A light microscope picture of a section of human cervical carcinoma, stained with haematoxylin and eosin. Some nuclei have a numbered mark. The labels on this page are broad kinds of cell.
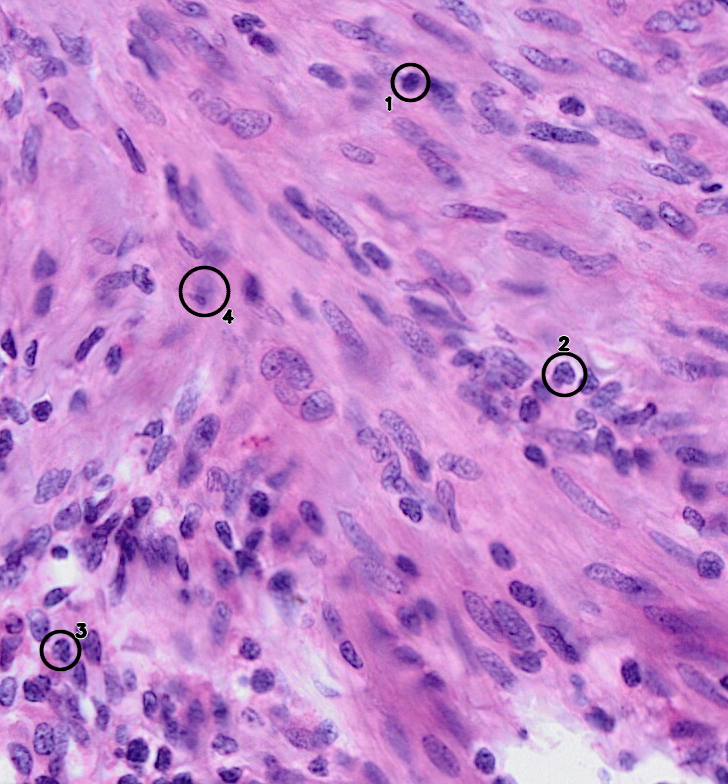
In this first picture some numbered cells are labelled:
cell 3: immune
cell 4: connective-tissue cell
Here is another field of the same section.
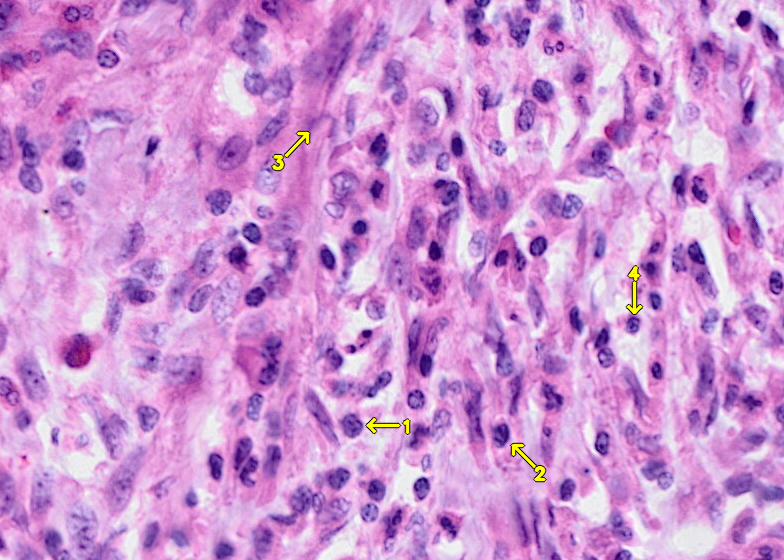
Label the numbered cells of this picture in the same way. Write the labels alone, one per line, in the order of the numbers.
immune
immune
connective-tissue cell
immune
